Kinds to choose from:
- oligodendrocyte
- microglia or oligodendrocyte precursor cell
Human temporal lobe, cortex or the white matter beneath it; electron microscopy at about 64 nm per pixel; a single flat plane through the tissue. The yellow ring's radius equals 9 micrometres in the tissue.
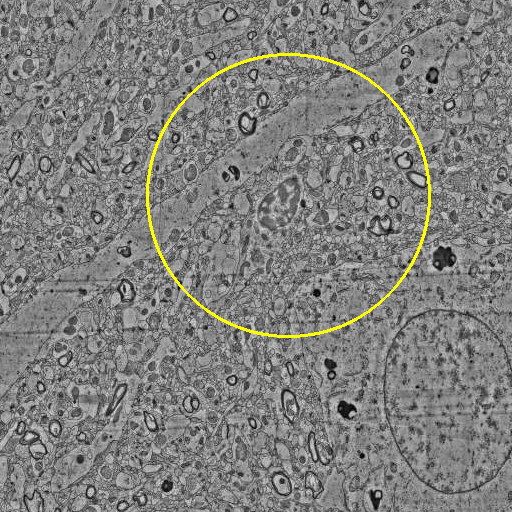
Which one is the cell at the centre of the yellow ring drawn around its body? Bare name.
microglia or oligodendrocyte precursor cell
